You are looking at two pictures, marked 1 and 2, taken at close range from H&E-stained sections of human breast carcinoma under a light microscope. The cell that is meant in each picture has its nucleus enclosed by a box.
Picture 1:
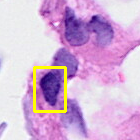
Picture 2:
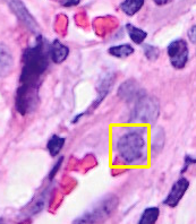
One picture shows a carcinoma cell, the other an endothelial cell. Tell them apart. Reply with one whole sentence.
Picture 1 is of a carcinoma cell, and picture 2 is of an endothelial cell.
